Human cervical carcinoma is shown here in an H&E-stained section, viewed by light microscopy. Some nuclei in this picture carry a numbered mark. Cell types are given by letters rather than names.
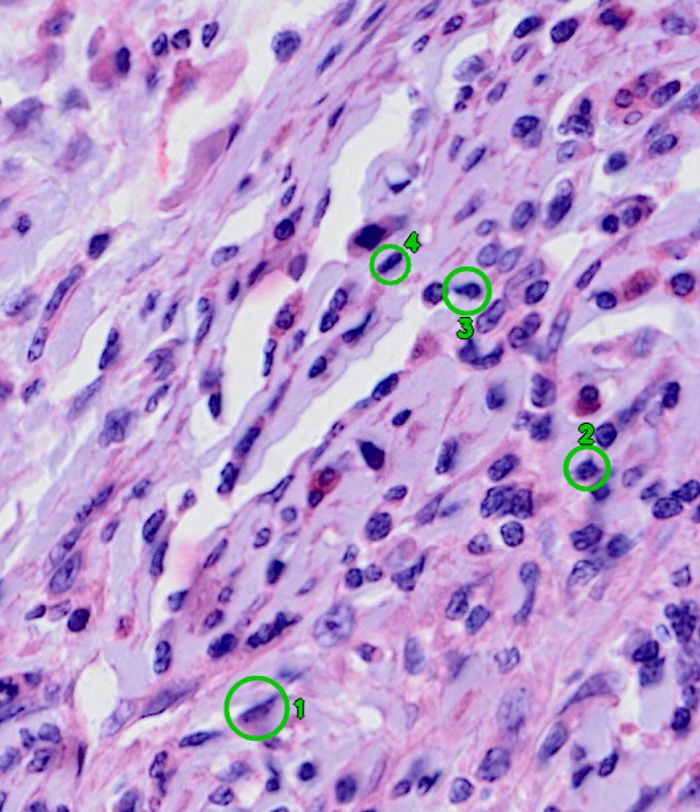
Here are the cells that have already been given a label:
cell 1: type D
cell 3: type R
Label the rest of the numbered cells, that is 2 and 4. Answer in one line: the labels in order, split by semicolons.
type R; type R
